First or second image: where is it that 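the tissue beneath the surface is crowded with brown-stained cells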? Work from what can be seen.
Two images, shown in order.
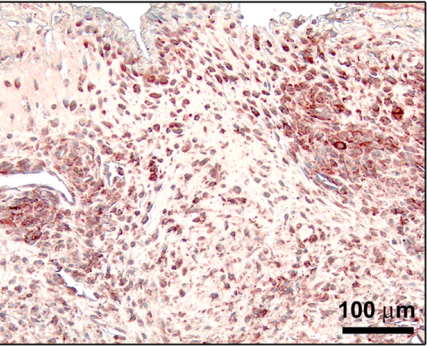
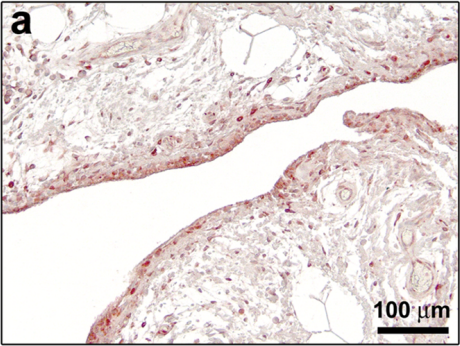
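First image: the deeper tissue is densely cellular with many brown-stained cells. Second image: the deeper tissue is loose and pale with sparse cells. The answer: the first image.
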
